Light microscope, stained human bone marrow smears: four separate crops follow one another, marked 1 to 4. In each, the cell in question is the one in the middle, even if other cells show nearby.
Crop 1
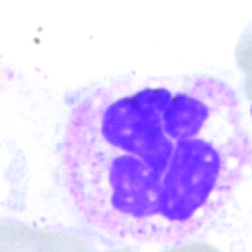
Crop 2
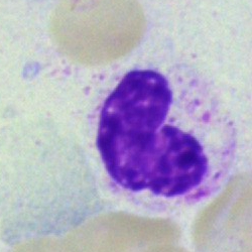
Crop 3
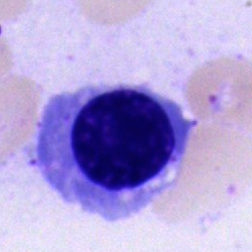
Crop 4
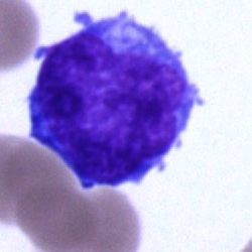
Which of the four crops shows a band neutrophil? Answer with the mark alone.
2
